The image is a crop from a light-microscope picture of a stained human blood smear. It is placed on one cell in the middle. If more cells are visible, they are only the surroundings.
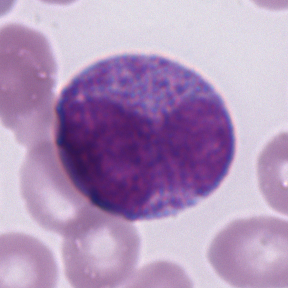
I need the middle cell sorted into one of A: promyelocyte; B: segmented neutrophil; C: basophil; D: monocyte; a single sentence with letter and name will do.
Since the middle cell is a promyelocyte, option A is the right one.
